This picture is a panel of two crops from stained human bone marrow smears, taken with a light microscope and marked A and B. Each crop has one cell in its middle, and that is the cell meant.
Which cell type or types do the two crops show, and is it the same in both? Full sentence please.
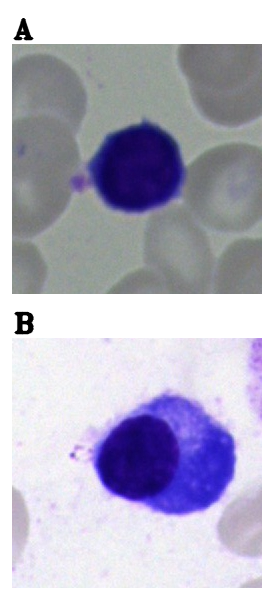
No, crop A is of a lymphocyte, and crop B is of a plasma cell.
